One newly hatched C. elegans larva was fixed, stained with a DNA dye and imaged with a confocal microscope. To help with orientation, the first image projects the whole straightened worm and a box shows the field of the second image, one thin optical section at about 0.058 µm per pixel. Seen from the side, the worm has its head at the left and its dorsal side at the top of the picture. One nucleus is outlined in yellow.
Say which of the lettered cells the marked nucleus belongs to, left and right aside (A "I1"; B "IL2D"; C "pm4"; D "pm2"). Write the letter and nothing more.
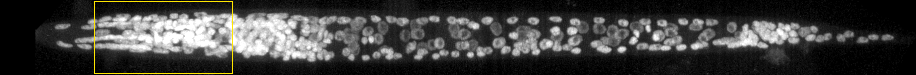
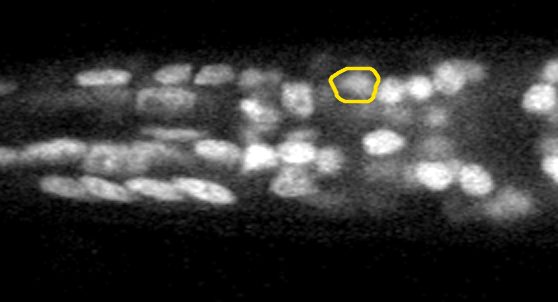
B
